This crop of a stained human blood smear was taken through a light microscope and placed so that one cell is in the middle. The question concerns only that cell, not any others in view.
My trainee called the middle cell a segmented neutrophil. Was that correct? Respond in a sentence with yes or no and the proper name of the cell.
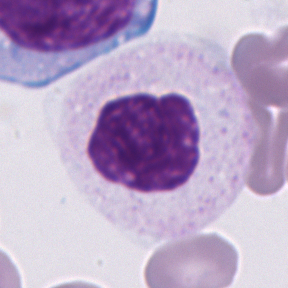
Yes, the central element of the crop is a segmented neutrophil.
